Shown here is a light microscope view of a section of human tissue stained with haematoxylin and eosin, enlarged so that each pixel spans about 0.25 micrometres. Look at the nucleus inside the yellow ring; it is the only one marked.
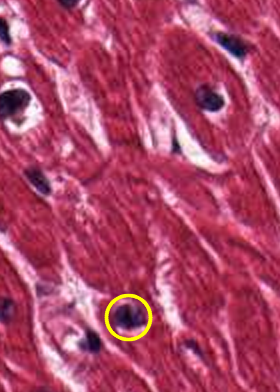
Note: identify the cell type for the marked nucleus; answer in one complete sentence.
The nucleus bearing the mark belongs to a cardiomyocyte.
